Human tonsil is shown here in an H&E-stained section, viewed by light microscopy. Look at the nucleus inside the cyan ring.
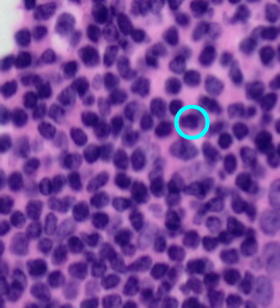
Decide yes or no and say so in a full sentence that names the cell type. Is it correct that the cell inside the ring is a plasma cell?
No. Look again: the cell inside the ring is a small lymphocyte, not a plasma cell.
